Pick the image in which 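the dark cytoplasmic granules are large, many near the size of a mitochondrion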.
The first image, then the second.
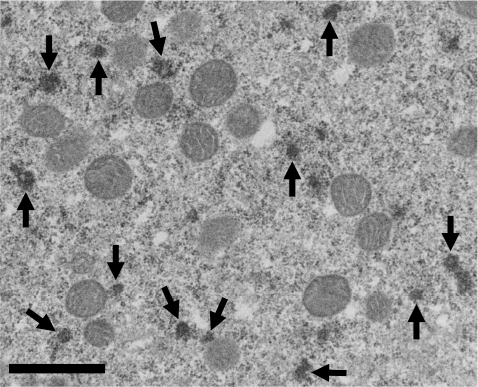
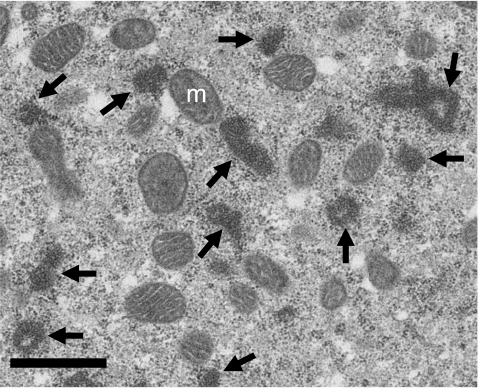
The second image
